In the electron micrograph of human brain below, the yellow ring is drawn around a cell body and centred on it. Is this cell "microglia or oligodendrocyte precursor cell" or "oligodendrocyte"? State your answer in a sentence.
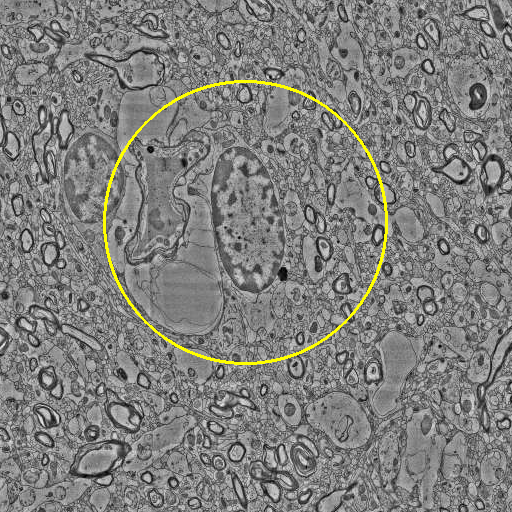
The cell in the middle of the ring is a microglial cell or oligodendrocyte precursor cell.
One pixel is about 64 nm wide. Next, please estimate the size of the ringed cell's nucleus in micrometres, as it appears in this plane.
Clearly longer than it is wide in this plane, the nucleus measures roughly 9 by 4 micrometres.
